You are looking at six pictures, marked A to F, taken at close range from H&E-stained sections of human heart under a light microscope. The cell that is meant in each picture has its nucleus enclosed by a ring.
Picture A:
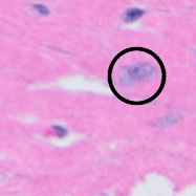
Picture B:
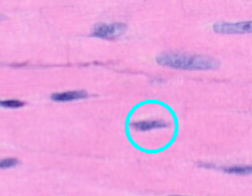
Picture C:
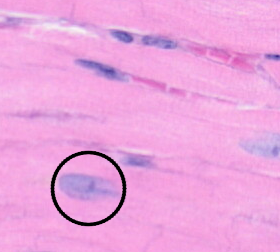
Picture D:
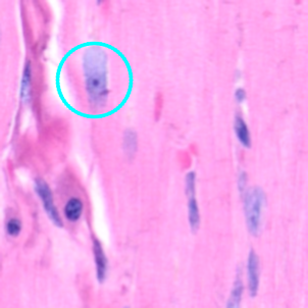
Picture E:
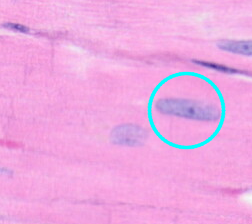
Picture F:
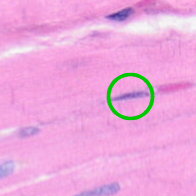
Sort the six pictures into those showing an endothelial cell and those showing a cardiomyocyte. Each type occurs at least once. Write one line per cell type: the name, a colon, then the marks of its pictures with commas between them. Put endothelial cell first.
endothelial cell: B, F
cardiomyocyte: A, C, D, E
